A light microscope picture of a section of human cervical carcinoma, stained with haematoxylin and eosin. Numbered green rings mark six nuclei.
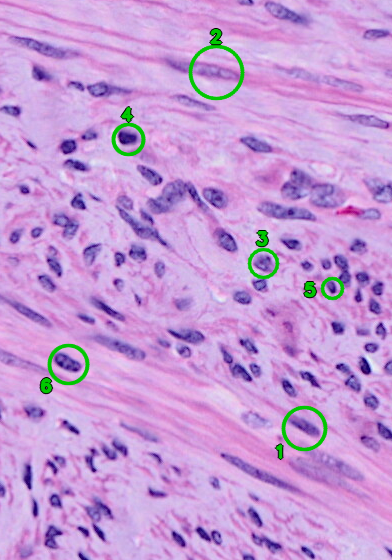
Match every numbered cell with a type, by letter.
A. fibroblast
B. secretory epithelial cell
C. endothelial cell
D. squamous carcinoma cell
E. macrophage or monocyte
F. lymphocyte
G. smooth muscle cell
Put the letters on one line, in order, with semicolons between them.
G; G; G; F; G; F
